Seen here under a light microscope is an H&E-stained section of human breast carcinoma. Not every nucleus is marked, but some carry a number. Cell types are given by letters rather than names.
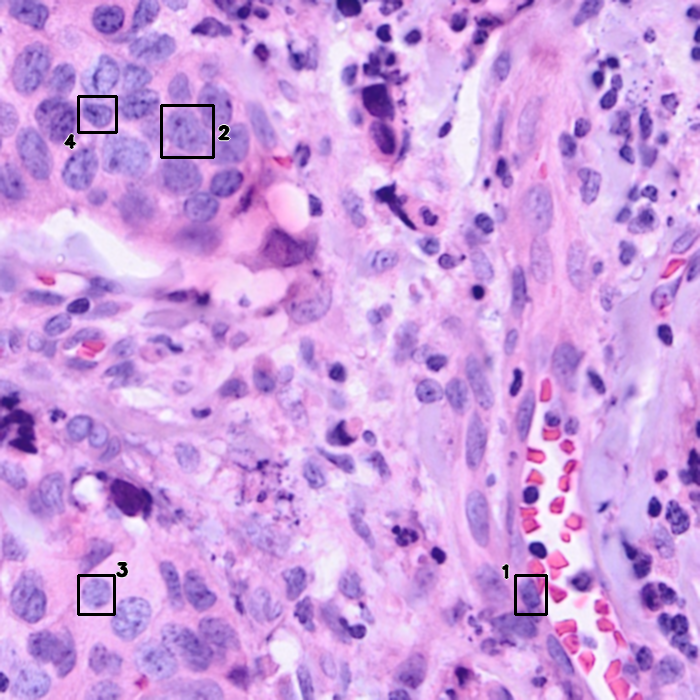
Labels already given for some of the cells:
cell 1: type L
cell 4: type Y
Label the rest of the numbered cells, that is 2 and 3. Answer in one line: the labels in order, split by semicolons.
type Y; type Y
